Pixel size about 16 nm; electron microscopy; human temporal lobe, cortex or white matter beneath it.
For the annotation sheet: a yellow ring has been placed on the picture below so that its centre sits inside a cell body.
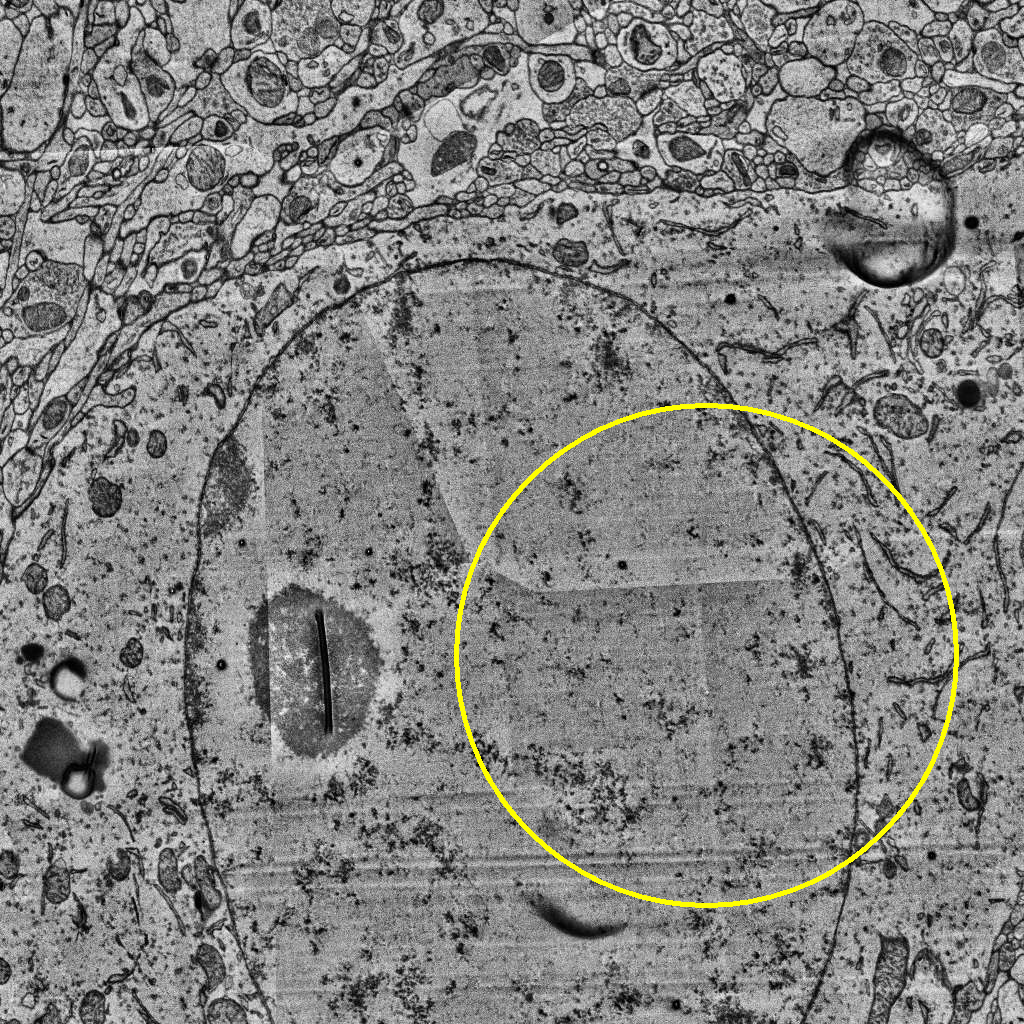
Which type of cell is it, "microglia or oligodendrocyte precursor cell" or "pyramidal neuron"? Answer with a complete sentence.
The cell at the ring's centre is a pyramidal neuron.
